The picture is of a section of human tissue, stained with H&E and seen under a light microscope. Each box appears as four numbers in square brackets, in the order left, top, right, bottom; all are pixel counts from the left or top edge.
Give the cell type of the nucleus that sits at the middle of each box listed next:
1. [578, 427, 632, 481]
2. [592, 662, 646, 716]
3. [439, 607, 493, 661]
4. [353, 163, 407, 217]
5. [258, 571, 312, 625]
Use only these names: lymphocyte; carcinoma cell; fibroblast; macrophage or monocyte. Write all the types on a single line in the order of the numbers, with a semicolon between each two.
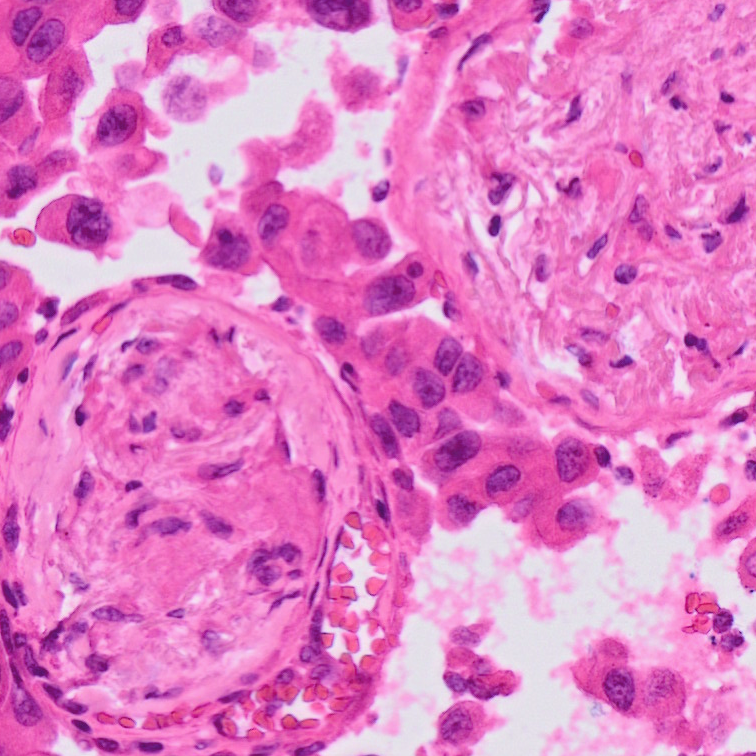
lymphocyte; carcinoma cell; macrophage or monocyte; lymphocyte; fibroblast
